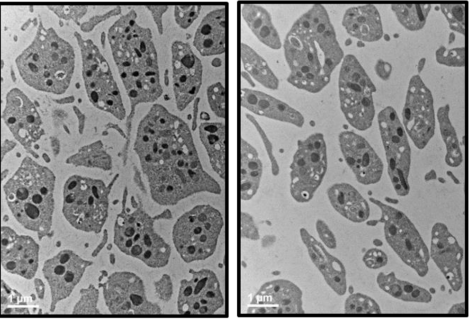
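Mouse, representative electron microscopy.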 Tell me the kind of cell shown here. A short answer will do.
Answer: Platelets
